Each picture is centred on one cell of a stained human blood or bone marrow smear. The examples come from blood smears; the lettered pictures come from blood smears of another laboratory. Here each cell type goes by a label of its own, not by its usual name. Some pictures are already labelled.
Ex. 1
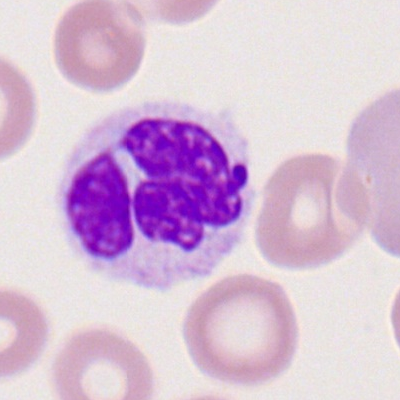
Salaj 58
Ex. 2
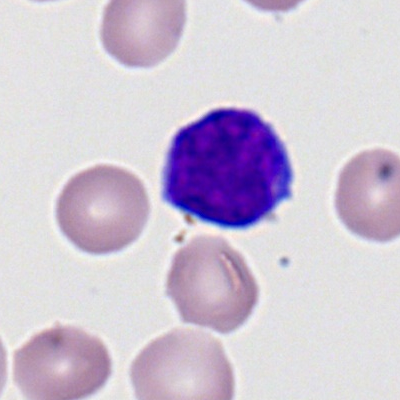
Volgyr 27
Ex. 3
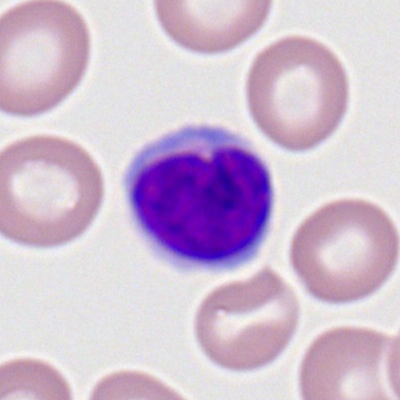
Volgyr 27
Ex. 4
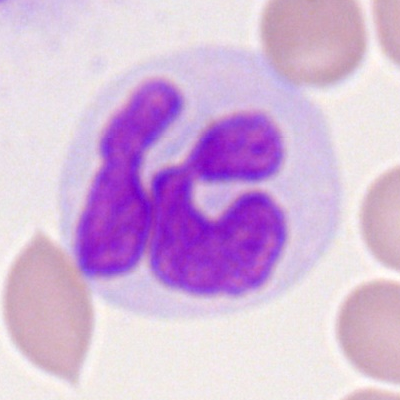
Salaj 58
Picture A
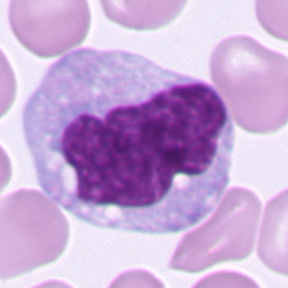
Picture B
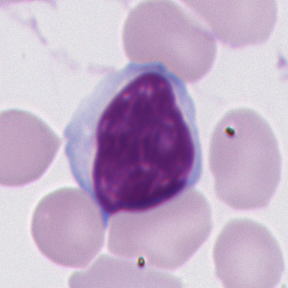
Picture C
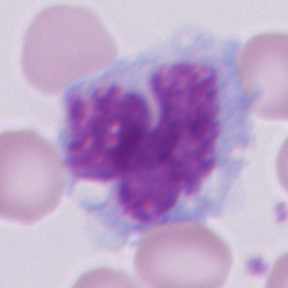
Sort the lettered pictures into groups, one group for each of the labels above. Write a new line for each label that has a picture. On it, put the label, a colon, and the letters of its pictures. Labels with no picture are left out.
Salaj 58: A, C
Volgyr 27: B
